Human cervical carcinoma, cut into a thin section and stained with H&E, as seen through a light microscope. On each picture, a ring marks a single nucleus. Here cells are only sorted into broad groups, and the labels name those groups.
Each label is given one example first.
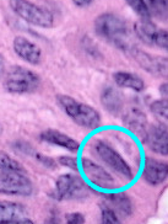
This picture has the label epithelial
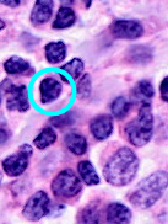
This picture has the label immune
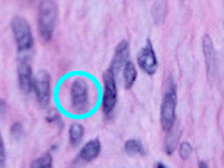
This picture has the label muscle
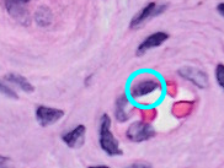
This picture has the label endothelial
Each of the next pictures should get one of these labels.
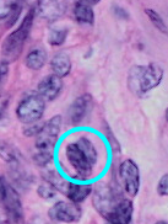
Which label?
immune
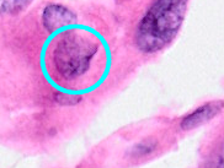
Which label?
epithelial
